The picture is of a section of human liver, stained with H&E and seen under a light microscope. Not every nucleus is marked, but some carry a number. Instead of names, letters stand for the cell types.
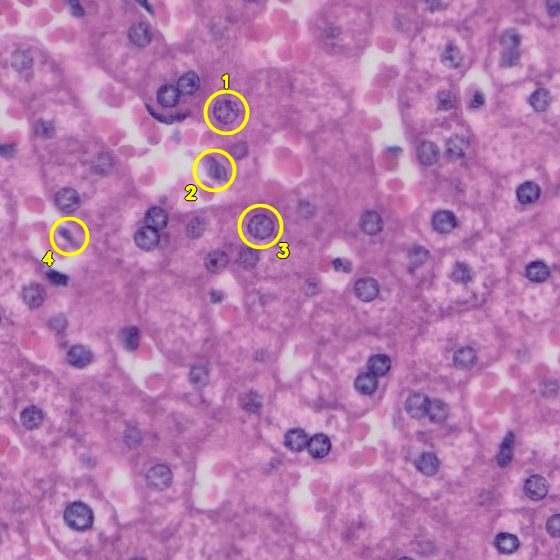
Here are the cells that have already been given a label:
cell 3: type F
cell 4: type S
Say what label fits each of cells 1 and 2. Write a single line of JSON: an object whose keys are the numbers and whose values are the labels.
{"1": "type F", "2": "type S"}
